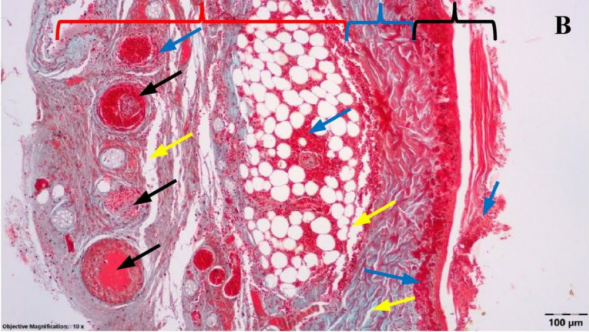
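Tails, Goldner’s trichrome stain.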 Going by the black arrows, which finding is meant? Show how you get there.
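Thrombosis. The black arrows point to round vessel profiles. These vessels are filled with a solid red-stained mass.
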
